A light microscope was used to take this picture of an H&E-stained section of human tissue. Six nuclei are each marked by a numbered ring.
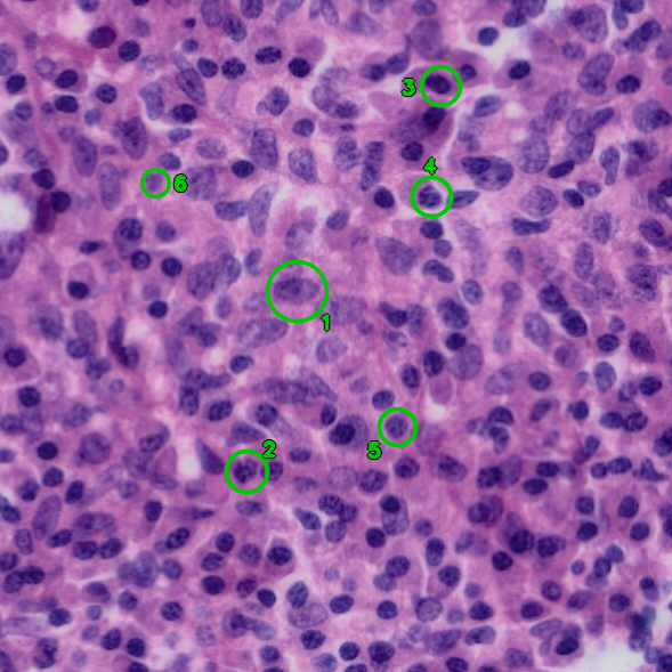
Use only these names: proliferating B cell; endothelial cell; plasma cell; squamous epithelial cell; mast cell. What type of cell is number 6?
squamous epithelial cell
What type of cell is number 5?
plasma cell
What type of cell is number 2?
plasma cell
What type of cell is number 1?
squamous epithelial cell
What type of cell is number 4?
plasma cell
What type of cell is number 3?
plasma cell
